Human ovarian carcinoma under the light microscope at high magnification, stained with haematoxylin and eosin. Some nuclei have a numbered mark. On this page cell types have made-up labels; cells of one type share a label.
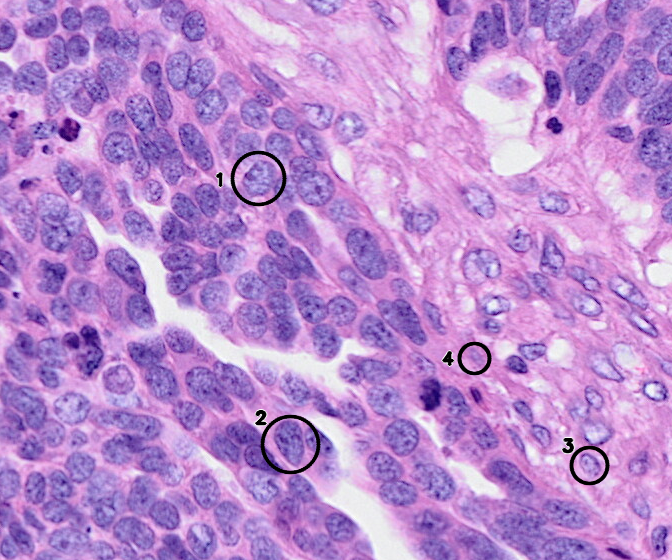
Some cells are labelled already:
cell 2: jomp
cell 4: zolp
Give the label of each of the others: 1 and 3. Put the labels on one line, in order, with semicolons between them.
jomp; zolp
